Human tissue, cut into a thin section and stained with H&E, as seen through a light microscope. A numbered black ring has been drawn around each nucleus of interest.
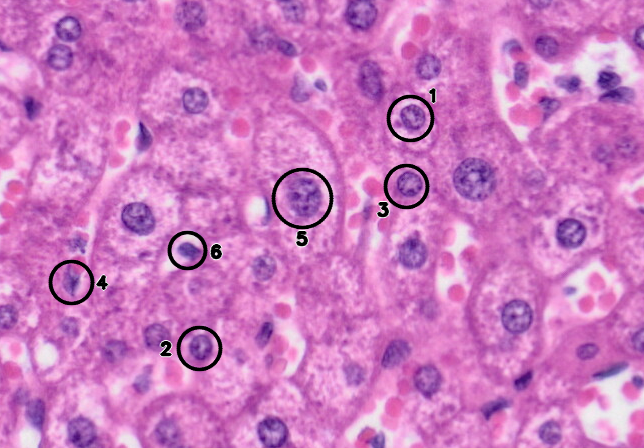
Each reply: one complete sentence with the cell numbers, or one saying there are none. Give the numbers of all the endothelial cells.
Only cell 4 qualifies as an endothelial cell among the numbered cells.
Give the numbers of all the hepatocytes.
Cells 1, 2, 3 and 5 share one type; they are hepatocytes.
